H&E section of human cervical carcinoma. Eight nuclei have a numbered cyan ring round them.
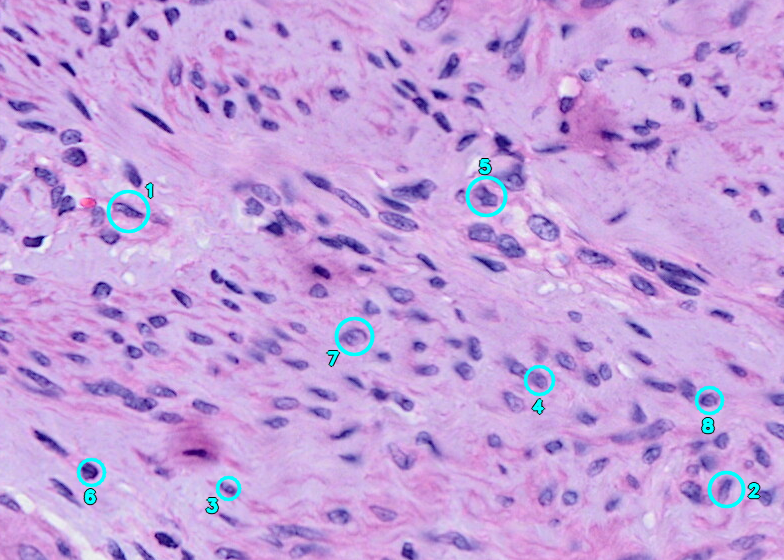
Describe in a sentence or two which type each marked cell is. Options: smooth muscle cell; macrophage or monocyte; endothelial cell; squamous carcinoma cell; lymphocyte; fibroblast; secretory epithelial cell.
Cell 1 is an endothelial cell, cell 2 is a smooth muscle cell, cell 3 is a smooth muscle cell, cell 4 is a smooth muscle cell, cell 5 is an endothelial cell, cell 6 is a lymphocyte, cell 7 is a smooth muscle cell and cell 8 is a smooth muscle cell.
